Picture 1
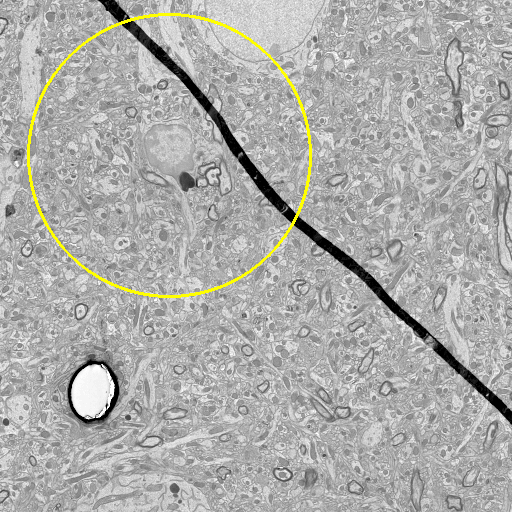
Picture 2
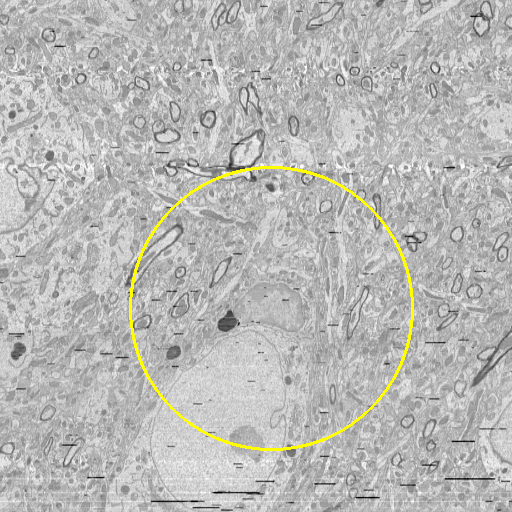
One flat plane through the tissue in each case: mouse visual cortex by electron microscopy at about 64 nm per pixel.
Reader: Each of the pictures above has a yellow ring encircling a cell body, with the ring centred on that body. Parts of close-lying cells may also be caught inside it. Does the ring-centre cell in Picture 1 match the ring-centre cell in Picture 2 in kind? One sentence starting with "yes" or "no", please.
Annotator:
Yes, Picture 1 and Picture 2 show ring-centre cells of a single kind.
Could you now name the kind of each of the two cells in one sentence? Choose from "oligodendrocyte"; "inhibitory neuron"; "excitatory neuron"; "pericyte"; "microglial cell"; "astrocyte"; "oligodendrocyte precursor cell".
The second cell is a microglial cell, just as the first is.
